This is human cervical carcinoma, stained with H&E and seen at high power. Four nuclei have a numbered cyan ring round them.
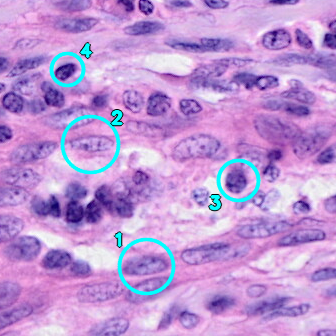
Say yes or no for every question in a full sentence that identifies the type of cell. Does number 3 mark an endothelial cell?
No, calling cell 3 an endothelial cell is a mistake; it is a lymphocyte.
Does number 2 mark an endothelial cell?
Yes, the cell that bears number 2 is an endothelial cell.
